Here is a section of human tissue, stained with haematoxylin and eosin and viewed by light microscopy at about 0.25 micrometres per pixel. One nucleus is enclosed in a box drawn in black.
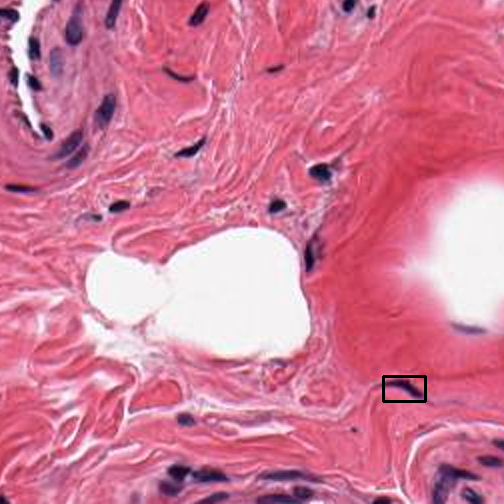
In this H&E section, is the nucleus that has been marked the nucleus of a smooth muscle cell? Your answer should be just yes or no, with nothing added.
no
